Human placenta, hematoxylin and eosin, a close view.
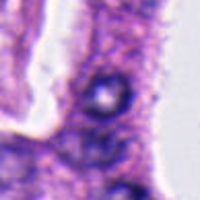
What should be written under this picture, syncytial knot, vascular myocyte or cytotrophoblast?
cytotrophoblast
